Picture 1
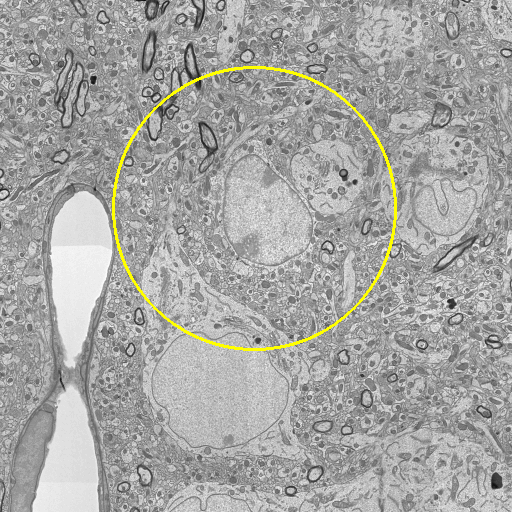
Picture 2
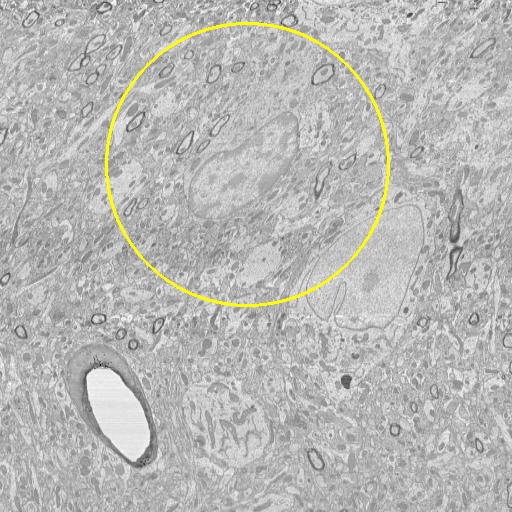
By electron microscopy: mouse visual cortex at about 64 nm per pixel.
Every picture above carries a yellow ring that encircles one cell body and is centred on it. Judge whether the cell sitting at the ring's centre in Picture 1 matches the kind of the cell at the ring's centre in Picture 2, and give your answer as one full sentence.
No, the cells centred in the rings of Pictures 1 and 2 belong to two kinds.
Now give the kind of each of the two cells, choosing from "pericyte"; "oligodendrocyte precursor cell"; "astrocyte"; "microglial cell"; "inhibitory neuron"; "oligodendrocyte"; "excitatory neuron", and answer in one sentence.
The cell in the first picture is an astrocyte, and the cell in the second is an oligodendrocyte.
